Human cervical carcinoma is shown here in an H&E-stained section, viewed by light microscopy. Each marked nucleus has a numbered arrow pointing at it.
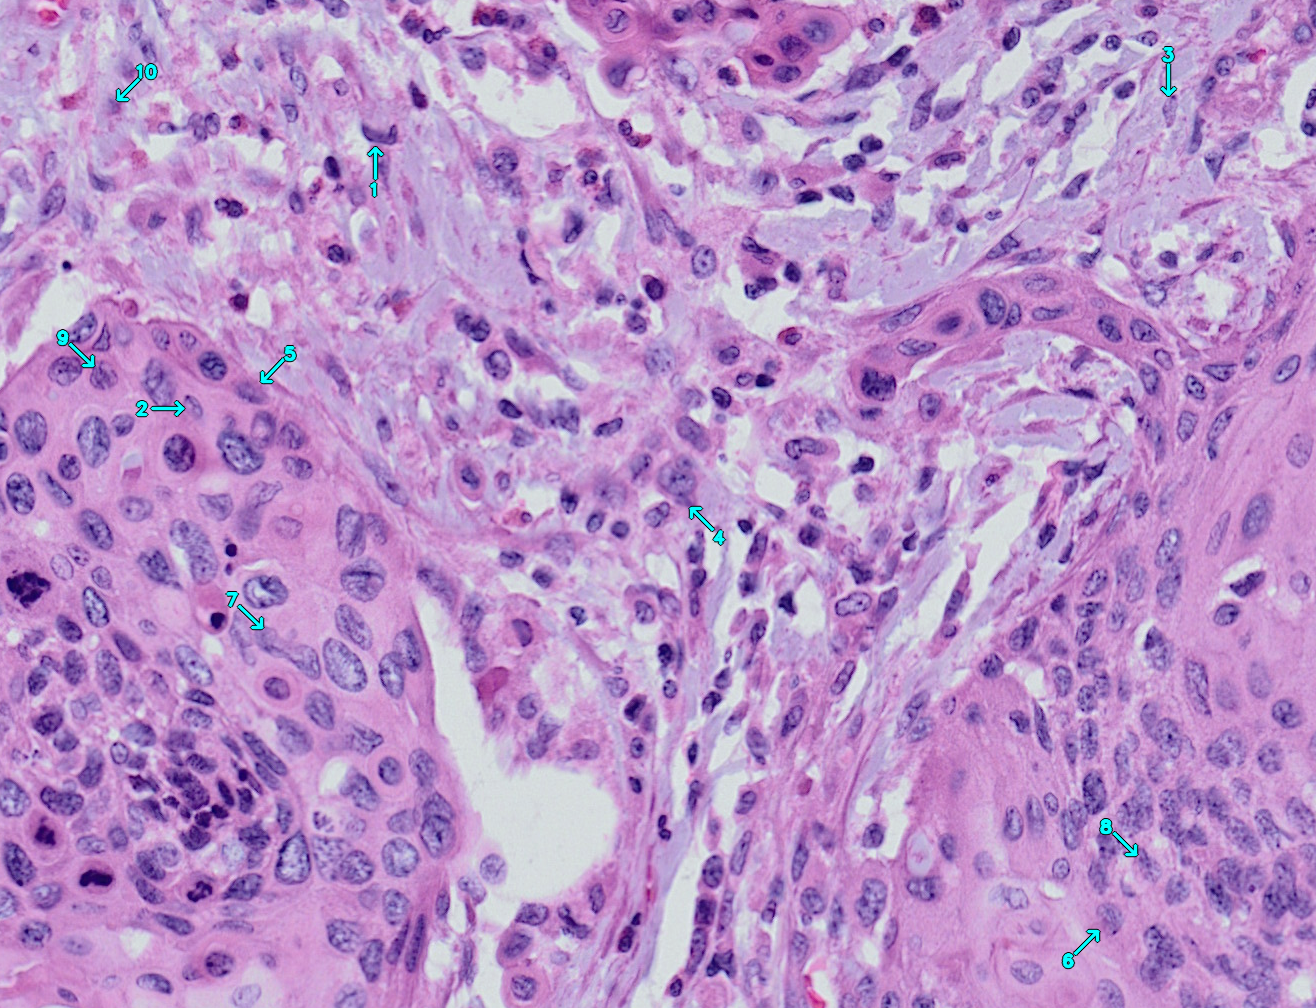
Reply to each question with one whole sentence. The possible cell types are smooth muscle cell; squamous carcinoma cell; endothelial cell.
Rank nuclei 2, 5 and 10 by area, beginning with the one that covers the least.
From smallest to largest, the order is 10, 2, 5.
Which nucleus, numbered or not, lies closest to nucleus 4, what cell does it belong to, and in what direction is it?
It is an endothelial cell, whose nucleus lies above nucleus 4.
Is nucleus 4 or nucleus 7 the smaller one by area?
With nucleus 7 about 1.5 times its size, nucleus 4 is the smaller of the two.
